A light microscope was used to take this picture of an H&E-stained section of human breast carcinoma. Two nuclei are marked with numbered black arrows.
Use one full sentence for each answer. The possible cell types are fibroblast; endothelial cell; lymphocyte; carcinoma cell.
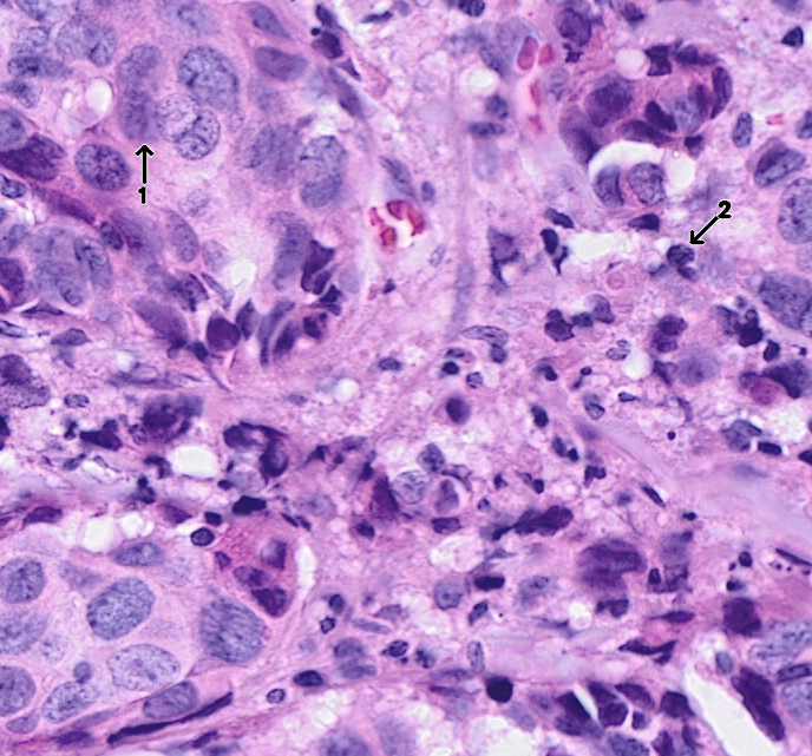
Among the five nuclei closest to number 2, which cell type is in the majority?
The majority of the five nuclei closest to number 2 belong to carcinoma cells.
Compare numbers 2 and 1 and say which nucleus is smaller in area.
It is nucleus 2; nucleus 1 has about 4 times its area.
